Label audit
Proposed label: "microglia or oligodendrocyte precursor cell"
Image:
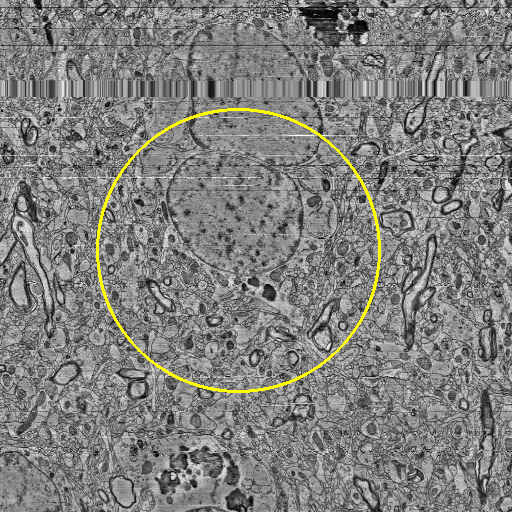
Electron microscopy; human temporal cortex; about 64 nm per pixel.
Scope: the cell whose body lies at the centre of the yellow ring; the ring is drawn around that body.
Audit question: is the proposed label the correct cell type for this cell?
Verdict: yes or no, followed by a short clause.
No, this cell is of another type.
